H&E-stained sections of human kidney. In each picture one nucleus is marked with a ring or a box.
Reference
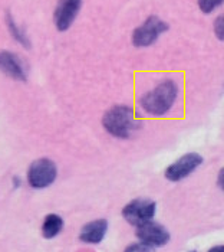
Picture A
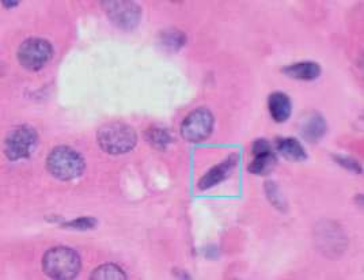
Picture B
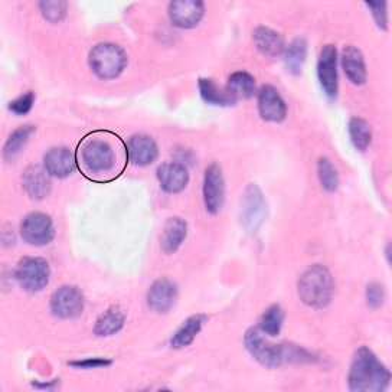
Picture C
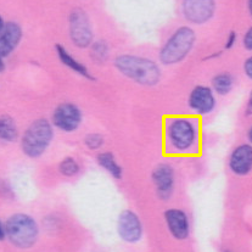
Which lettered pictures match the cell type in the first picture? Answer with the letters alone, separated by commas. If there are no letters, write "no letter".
no letter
